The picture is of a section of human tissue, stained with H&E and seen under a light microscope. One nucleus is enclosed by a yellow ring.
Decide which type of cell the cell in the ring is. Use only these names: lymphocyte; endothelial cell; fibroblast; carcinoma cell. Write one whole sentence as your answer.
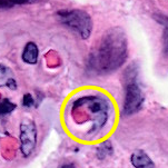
Students should answer that the cell in the ring is an endothelial cell.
